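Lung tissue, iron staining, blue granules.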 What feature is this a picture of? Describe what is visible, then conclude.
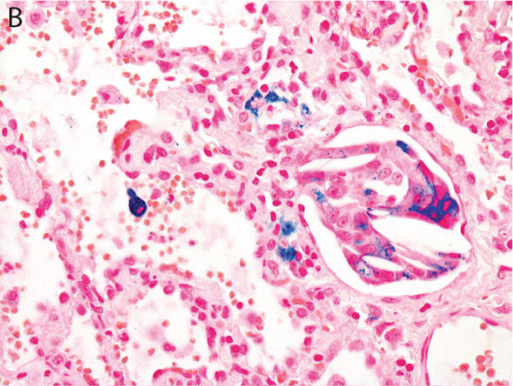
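Cholesterol granulomas. Elongated empty cleft-like spaces lie inside a cell cluster. Cells and multinucleated cells surround the clefts.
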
